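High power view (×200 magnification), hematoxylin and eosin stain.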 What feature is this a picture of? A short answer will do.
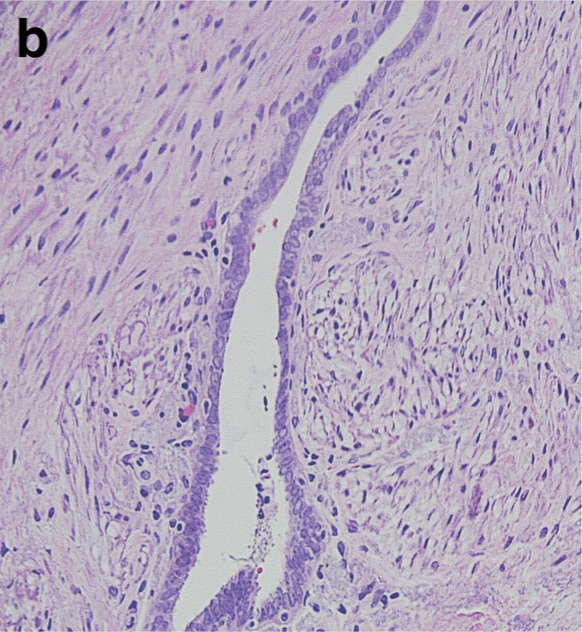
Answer: Endometrial gland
